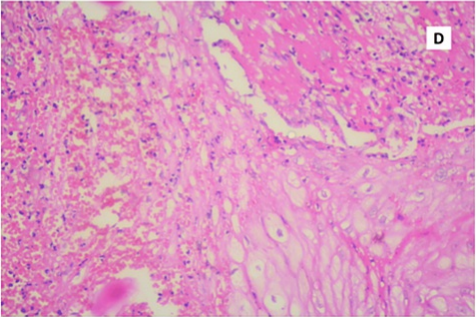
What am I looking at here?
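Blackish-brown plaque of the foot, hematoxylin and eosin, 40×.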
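This is epidermis from skin with an exudate collected inside it. On the left lies a dense collection of small red cells mixed with scattered cells that have dark nuclei. To the lower right are squamous epithelial cells with pale, clear cytoplasm and small nuclei, and along the top runs a band of compact pink tissue with scattered nuclei.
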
